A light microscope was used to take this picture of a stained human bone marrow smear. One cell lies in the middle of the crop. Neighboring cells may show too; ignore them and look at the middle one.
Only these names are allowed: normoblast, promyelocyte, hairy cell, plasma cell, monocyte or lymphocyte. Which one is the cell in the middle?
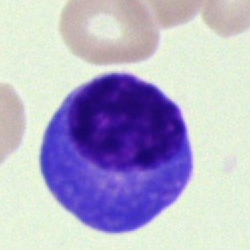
plasma cell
